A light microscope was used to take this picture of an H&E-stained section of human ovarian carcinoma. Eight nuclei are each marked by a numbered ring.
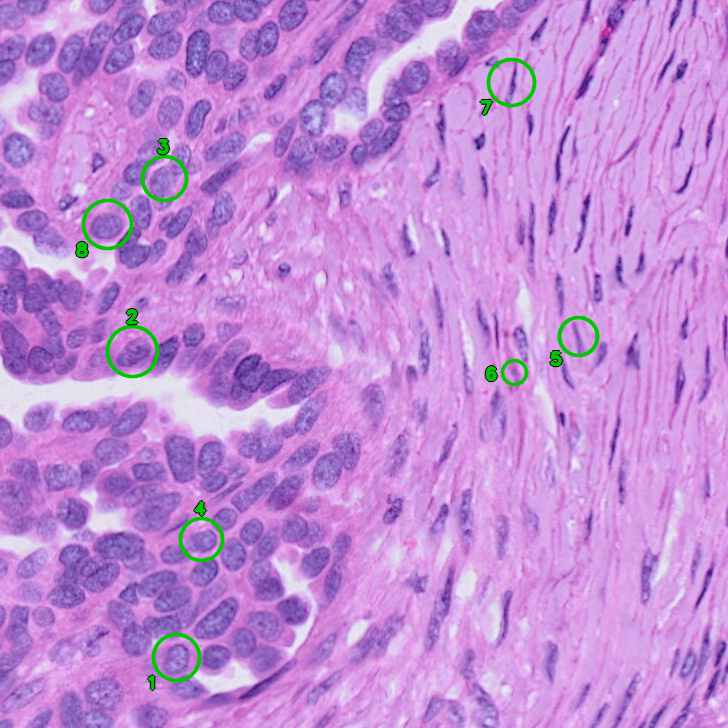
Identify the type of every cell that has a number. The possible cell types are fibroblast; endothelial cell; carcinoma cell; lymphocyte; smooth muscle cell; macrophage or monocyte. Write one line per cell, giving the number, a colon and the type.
1: carcinoma cell
2: carcinoma cell
3: carcinoma cell
4: carcinoma cell
5: fibroblast
6: fibroblast
7: fibroblast
8: carcinoma cell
